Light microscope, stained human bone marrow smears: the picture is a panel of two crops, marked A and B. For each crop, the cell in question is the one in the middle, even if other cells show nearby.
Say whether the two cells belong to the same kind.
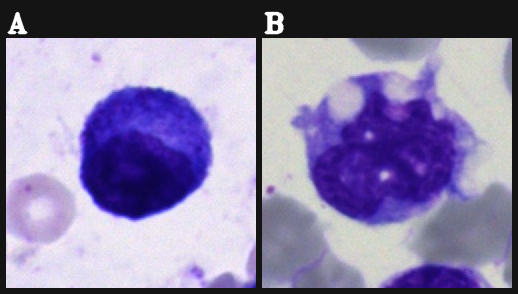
no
